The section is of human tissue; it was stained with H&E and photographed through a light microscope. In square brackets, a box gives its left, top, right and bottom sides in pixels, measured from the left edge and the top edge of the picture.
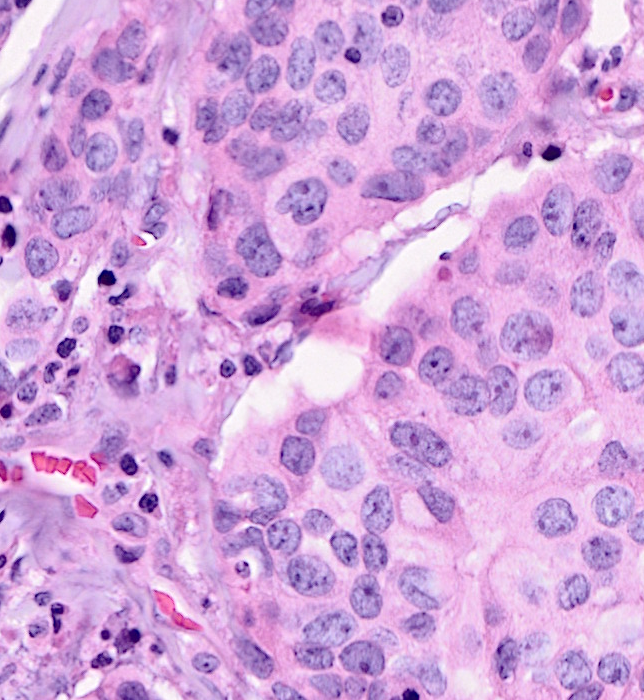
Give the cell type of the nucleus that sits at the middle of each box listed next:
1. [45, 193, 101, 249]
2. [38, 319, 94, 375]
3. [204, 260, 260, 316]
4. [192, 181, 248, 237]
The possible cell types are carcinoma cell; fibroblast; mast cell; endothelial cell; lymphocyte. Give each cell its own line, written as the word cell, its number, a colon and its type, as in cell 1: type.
cell 1: carcinoma cell
cell 2: lymphocyte
cell 3: carcinoma cell
cell 4: carcinoma cell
